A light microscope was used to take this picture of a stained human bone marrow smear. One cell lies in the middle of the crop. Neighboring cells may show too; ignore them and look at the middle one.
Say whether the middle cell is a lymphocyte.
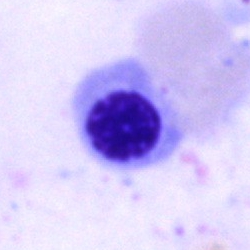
no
